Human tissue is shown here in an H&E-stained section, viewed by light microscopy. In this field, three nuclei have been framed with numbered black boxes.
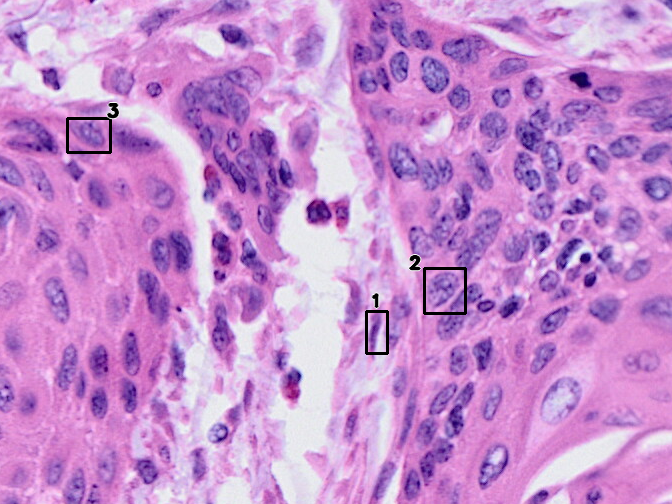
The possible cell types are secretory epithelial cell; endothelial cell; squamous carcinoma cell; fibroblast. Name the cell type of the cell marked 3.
squamous carcinoma cell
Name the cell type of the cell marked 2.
squamous carcinoma cell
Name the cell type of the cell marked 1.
fibroblast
